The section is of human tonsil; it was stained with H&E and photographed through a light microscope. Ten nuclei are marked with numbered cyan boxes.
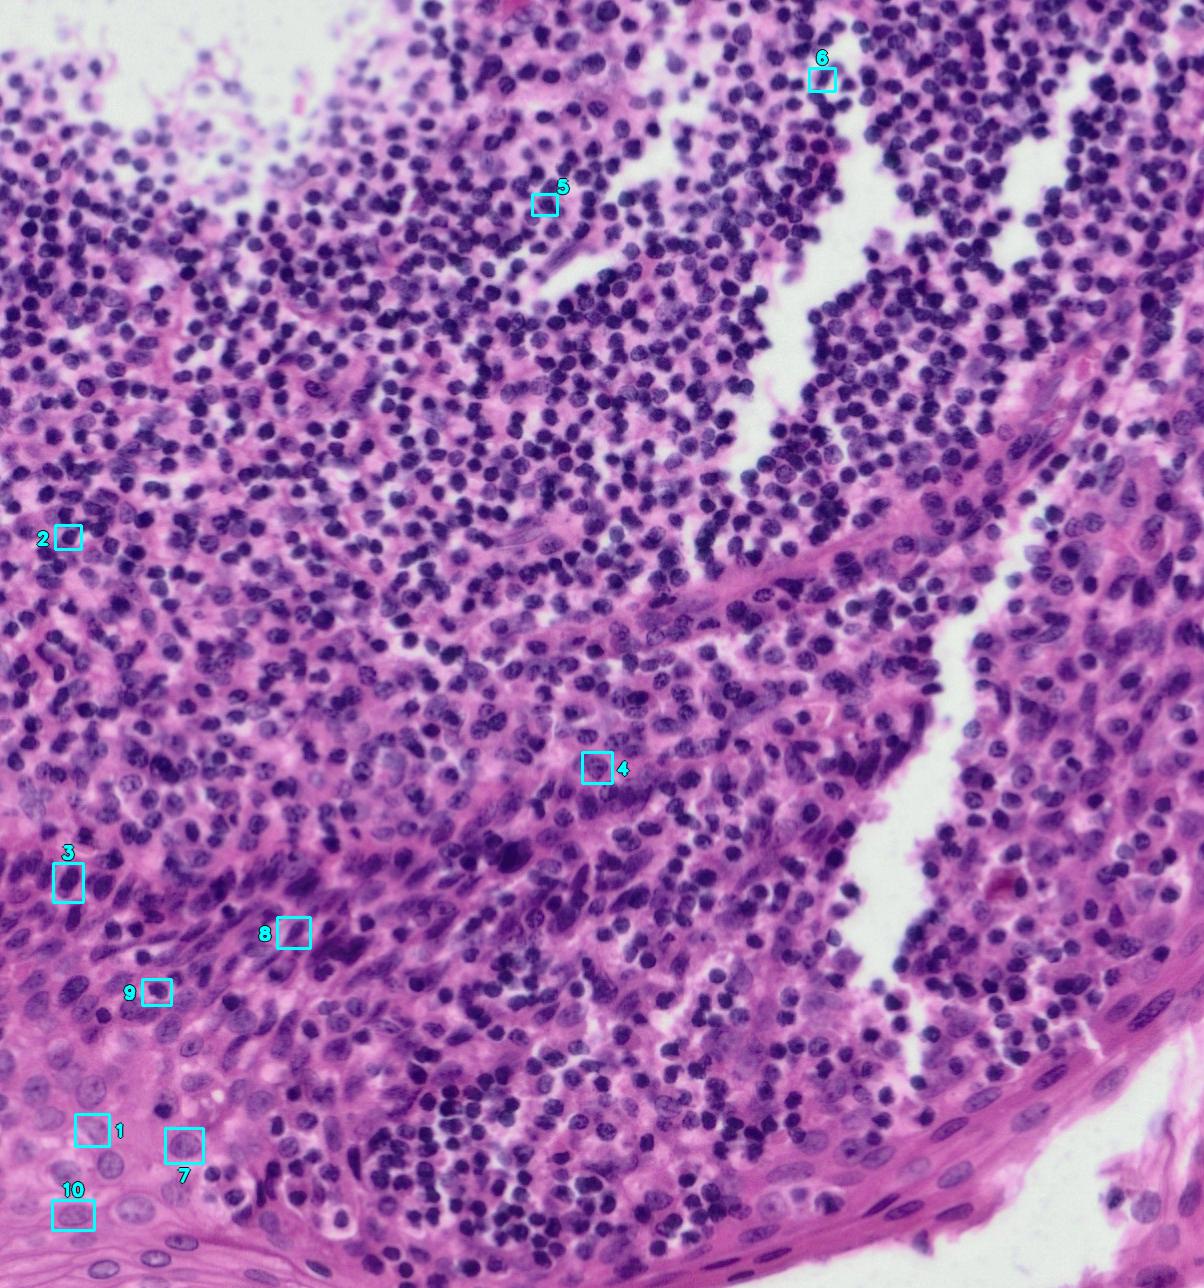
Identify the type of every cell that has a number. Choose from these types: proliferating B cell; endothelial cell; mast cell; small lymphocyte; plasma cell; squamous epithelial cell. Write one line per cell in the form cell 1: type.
cell 1: squamous epithelial cell
cell 2: small lymphocyte
cell 3: squamous epithelial cell
cell 4: plasma cell
cell 5: small lymphocyte
cell 6: small lymphocyte
cell 7: squamous epithelial cell
cell 8: squamous epithelial cell
cell 9: squamous epithelial cell
cell 10: squamous epithelial cell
